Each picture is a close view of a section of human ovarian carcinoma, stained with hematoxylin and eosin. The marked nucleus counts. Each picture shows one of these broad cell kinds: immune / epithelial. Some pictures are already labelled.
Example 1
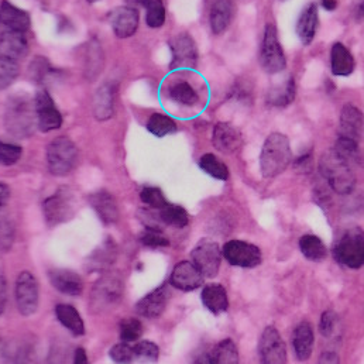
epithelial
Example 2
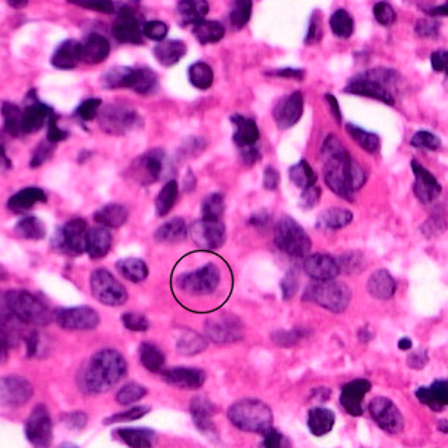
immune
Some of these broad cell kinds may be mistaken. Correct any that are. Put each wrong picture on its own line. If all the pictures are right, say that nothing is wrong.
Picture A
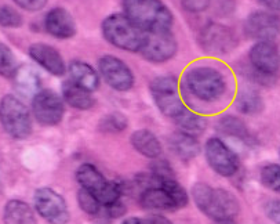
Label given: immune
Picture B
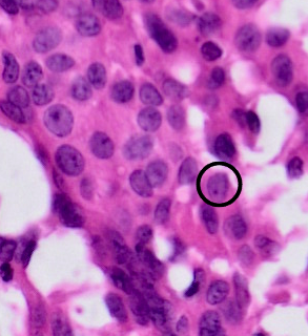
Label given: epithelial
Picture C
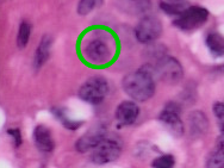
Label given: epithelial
A: epithelial, not immune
